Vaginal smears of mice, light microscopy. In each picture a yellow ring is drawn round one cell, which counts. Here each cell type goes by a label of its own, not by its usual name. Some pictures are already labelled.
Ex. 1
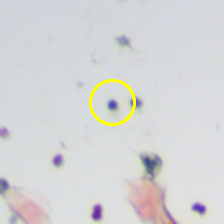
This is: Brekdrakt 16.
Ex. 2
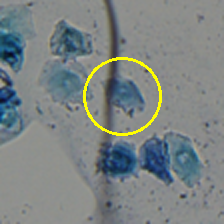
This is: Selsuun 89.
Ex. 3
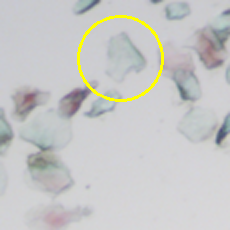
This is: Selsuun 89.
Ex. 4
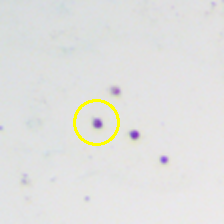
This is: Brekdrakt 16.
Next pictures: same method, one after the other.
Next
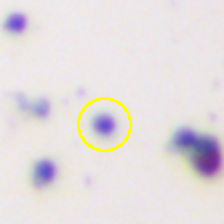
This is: Brekdrakt 16.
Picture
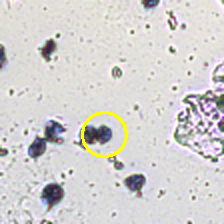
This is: Brekdrakt 16.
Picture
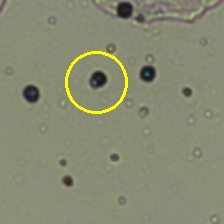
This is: Brekdrakt 16.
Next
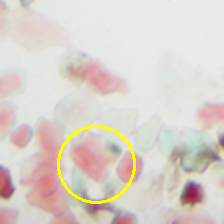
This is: Selsuun 89.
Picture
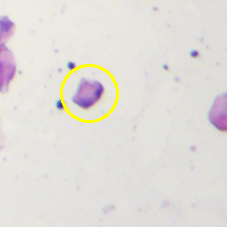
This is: Selsuun 89.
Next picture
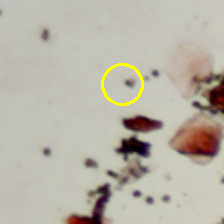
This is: Brekdrakt 16.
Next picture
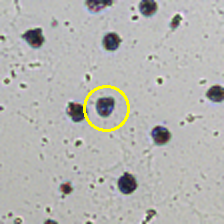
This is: Brekdrakt 16.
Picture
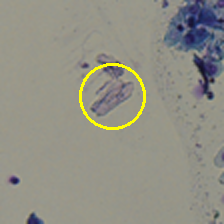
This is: Selsuun 89.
